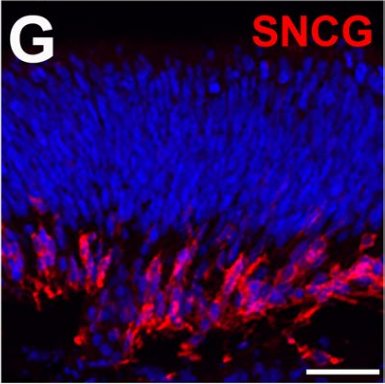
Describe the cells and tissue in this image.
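Retinal tissue with a thick, densely packed layer of blue nuclei above and a band of retinal ganglion cells below. The upper layer consists of closely packed, elongated nuclei oriented roughly perpendicular to the surface, without red label. The boundary between the unlabelled nuclear layer and the red band is fairly sharp.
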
